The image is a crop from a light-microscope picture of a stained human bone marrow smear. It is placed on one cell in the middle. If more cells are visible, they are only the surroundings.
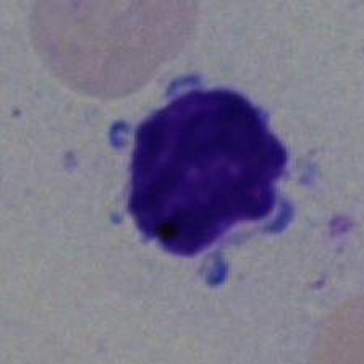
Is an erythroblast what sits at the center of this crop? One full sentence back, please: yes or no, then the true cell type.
No, the central cell is not to be called an erythroblast, being a lymphocyte.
